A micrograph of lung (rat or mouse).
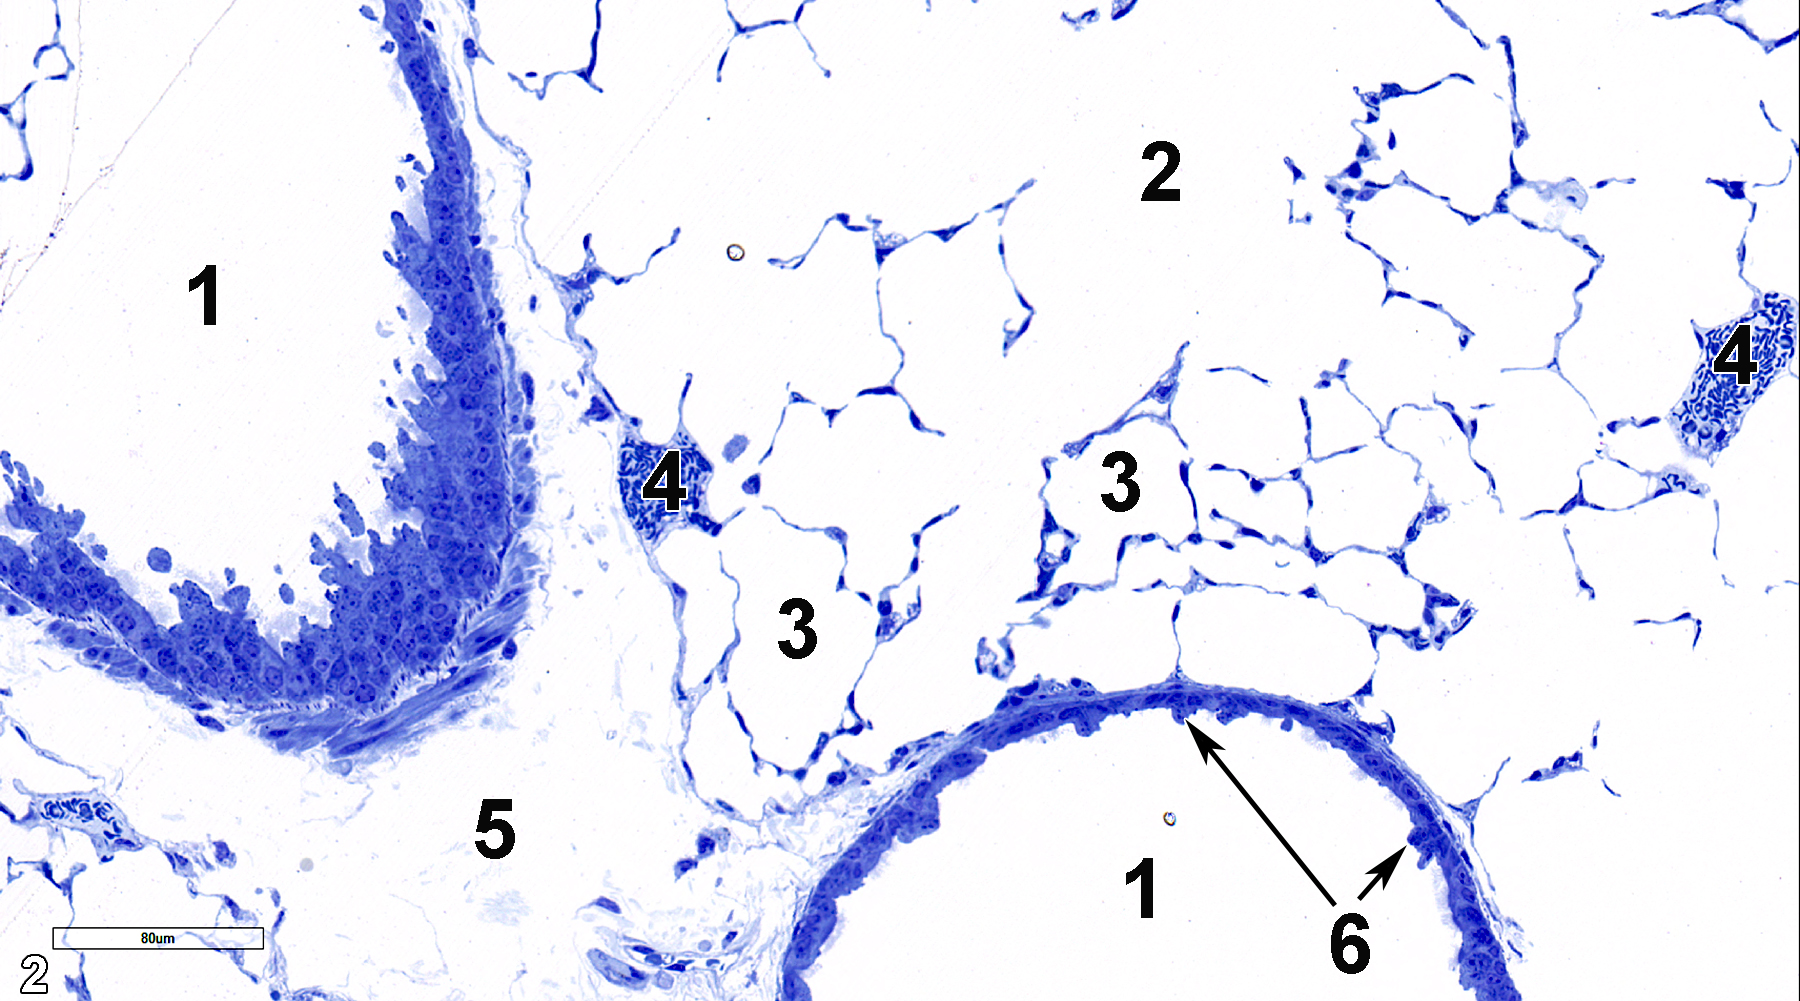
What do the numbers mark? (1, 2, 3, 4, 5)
(1) terminal bronchioles
(2) alveolar ducts
(3) alveoli
(4) blood vessels
(5) connective tissue septum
